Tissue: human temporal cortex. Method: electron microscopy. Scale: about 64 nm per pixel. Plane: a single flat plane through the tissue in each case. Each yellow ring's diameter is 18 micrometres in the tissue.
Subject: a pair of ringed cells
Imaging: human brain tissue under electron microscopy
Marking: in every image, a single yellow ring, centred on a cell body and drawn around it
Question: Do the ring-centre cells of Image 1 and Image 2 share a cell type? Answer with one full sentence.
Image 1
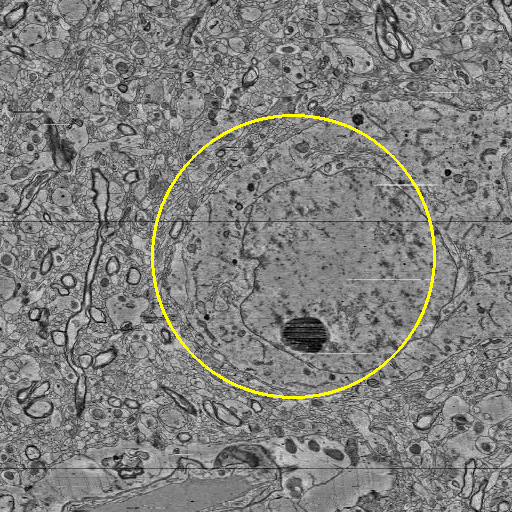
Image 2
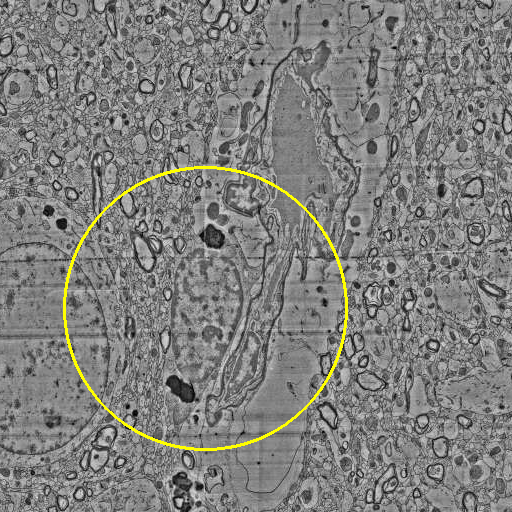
No, at the ring centres in the images sit cells of two separate types.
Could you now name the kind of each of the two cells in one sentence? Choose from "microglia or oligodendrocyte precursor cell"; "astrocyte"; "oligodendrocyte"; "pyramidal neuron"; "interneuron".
The first ring encloses a pyramidal neuron; the second ring encloses an oligodendrocyte.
